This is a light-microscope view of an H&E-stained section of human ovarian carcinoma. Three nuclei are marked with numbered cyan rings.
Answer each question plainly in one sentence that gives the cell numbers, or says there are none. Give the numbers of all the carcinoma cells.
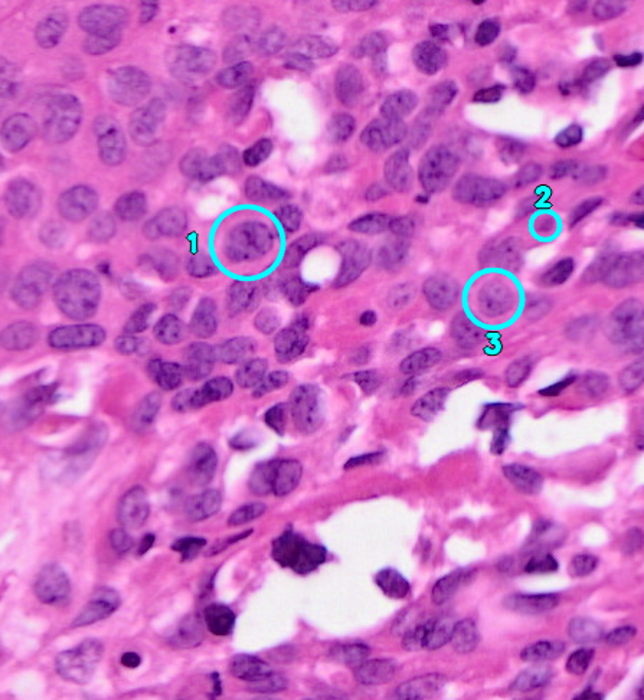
Cells 1 and 3 are carcinoma cells by cell type.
